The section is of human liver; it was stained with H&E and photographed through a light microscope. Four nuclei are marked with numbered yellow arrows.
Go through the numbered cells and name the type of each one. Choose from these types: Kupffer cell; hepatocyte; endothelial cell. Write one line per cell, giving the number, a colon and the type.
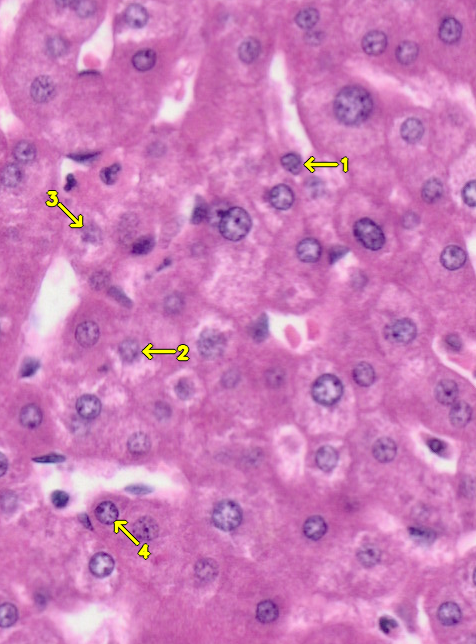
1: Kupffer cell
2: hepatocyte
3: hepatocyte
4: hepatocyte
